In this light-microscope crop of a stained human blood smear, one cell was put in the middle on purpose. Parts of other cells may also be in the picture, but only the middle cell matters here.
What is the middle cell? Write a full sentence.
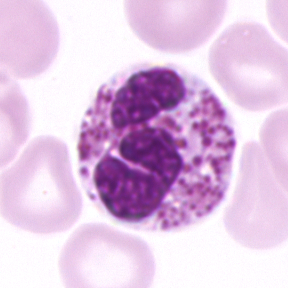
The crop centres on a single cell, and that cell is an eosinophil.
